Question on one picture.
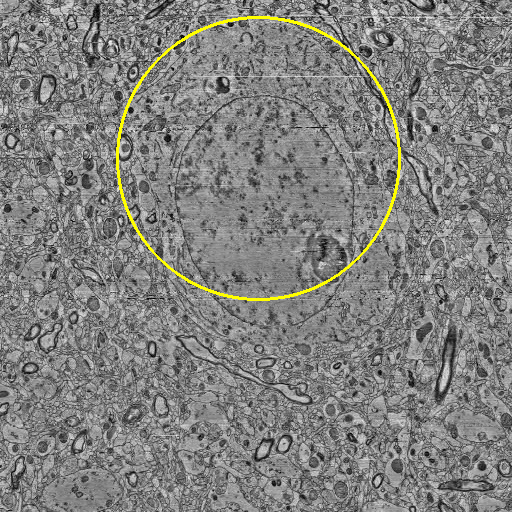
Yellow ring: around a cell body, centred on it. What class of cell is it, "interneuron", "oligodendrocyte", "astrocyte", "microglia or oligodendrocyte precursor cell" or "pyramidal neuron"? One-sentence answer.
This is a pyramidal neuron, the cell the ring is centred on.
